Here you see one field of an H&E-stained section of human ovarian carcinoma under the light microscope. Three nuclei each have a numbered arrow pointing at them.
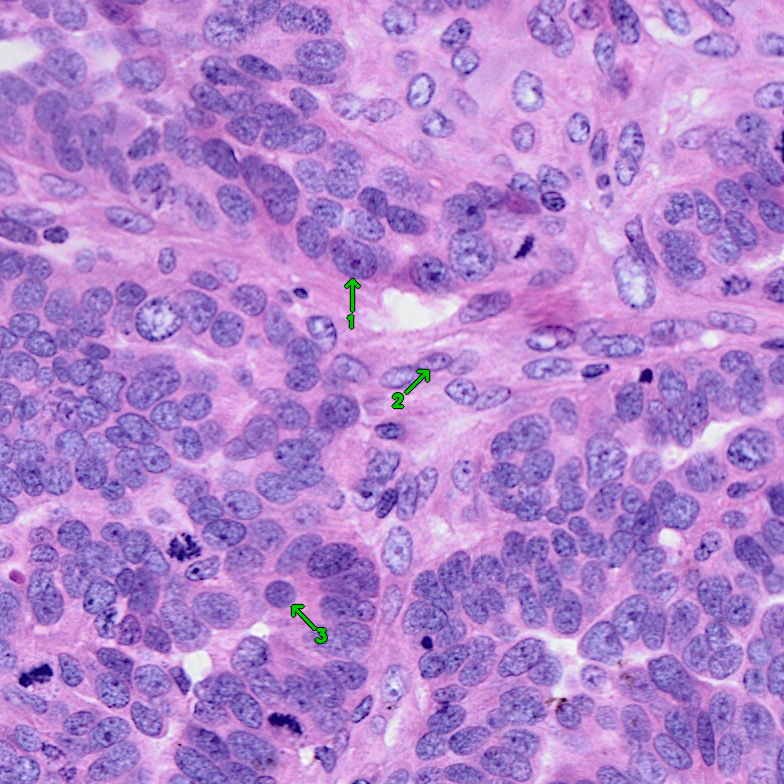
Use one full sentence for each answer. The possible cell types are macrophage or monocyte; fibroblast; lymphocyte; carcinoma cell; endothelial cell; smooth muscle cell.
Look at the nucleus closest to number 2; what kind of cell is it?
The nucleus nearest to number 2 is that of a fibroblast.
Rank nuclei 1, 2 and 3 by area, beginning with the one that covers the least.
The order from the smallest nucleus to the largest is 2, 3, 1.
